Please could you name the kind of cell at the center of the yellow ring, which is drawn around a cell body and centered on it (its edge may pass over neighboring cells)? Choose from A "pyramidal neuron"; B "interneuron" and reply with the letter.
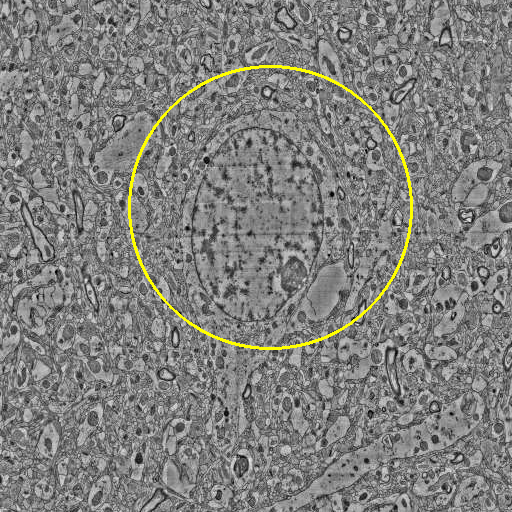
A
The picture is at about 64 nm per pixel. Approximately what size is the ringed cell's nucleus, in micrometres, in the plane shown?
About 12 by 8 micrometres in this plane; clearly longer than it is wide.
